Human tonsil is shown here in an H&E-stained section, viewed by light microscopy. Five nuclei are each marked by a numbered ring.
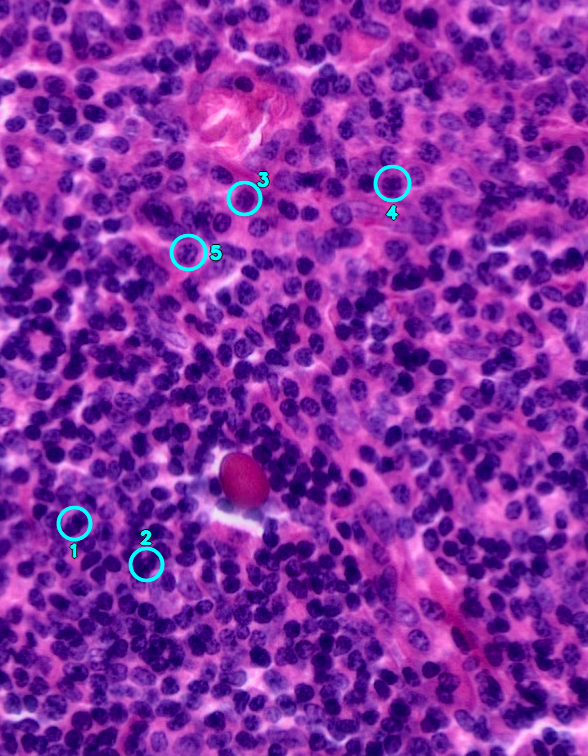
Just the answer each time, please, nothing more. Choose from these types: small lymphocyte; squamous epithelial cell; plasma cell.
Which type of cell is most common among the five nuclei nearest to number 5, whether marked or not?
plasma cell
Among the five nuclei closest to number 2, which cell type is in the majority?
small lymphocyte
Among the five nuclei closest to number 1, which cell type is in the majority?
small lymphocyte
